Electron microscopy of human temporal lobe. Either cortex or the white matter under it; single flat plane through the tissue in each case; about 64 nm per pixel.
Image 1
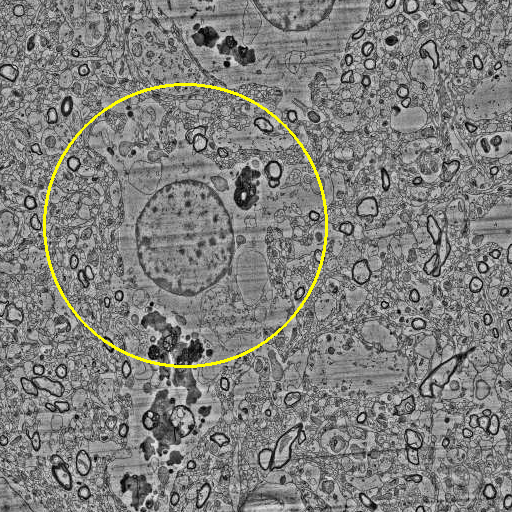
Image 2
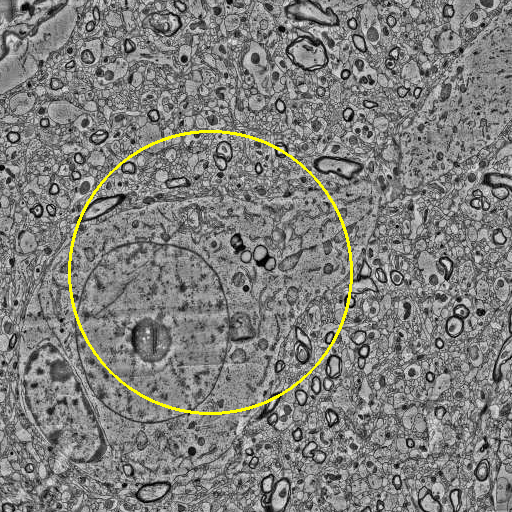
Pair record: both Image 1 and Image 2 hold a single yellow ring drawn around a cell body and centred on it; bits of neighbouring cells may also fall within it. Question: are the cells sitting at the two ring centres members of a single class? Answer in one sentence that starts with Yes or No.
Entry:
No, the ring-centre cells in Image 1 and Image 2 come from two classes.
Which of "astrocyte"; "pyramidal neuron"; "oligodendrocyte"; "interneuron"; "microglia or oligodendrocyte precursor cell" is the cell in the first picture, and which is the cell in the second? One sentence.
The two differ: the first cell is an astrocyte and the second is a pyramidal neuron.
